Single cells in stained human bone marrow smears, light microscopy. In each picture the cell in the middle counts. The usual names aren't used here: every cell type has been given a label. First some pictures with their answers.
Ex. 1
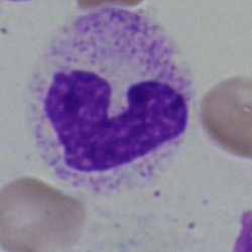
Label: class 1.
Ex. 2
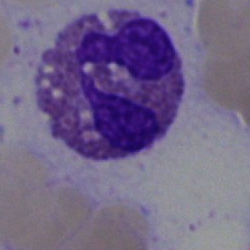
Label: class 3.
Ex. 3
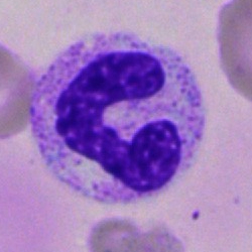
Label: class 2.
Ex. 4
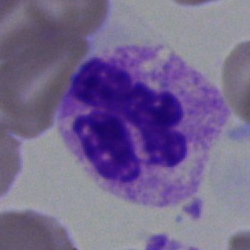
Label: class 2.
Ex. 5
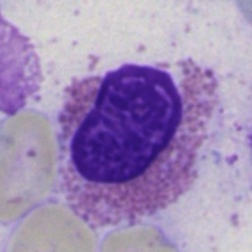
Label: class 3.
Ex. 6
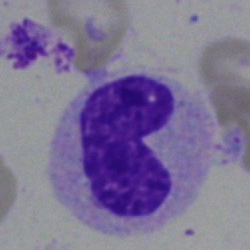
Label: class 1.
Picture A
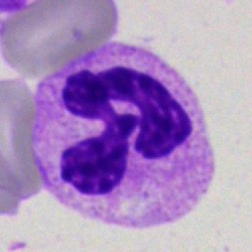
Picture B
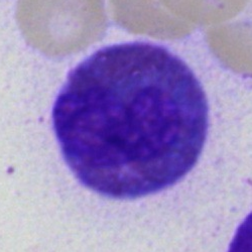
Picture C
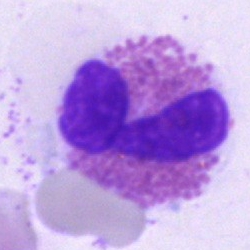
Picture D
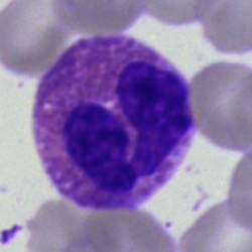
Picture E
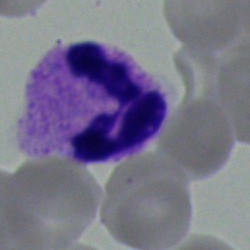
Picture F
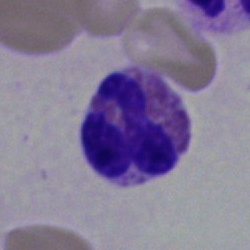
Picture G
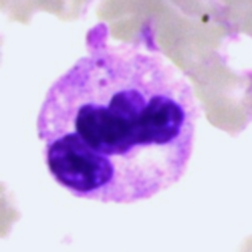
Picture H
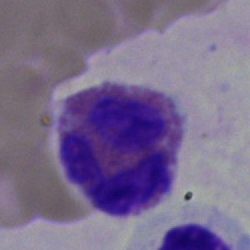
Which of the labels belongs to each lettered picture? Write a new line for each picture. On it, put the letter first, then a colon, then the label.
A: class 2.
B: class 3.
C: class 3.
D: class 3.
E: class 2.
F: class 3.
G: class 2.
H: class 3.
